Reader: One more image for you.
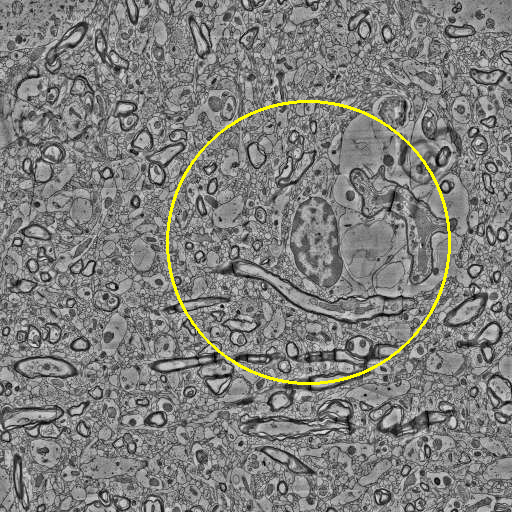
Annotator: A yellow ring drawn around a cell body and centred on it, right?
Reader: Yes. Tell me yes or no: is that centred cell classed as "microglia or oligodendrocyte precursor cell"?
yes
